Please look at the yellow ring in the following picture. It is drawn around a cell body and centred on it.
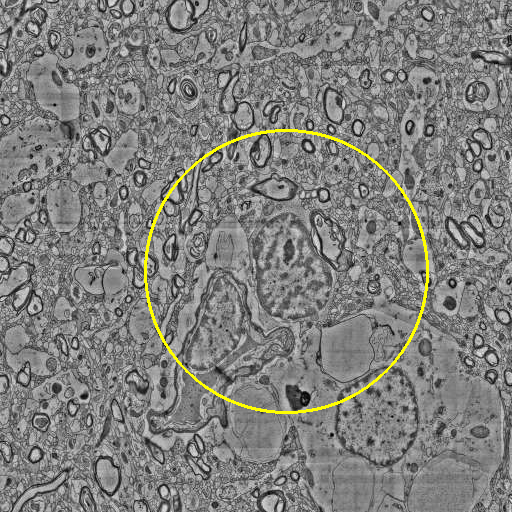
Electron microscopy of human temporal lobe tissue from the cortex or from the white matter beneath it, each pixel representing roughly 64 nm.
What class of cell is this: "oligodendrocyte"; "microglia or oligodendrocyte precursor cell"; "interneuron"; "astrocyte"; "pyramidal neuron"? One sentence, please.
The ring surrounds the cell body of an oligodendrocyte.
